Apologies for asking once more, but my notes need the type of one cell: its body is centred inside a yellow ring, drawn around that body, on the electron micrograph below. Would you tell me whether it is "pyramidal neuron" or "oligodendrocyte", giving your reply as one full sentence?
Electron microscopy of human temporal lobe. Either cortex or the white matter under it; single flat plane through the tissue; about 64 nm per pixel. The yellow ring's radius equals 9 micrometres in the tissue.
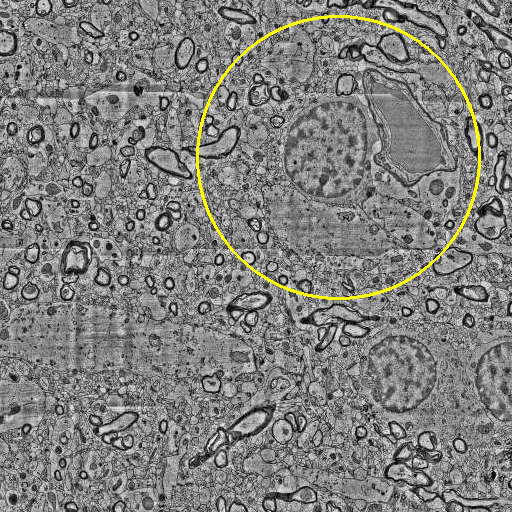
The cell that the yellow ring is centred on is an oligodendrocyte in this micrograph.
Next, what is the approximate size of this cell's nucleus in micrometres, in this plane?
About 6 micrometres across in this plane, for the nucleus.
